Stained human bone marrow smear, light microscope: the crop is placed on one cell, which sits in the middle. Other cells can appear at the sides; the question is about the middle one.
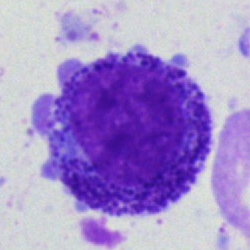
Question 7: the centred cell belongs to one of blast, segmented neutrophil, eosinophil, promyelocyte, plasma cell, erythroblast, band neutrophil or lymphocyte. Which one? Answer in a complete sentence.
This crop has a promyelocyte at its centre.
